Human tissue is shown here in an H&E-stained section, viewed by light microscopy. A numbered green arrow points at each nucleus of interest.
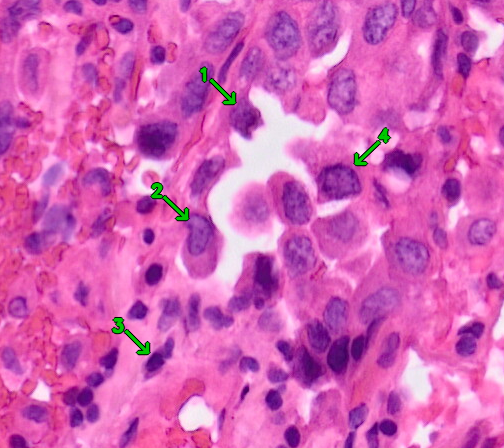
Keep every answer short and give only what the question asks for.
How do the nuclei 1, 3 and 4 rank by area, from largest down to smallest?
4, 1, 3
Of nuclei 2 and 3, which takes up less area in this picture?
3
